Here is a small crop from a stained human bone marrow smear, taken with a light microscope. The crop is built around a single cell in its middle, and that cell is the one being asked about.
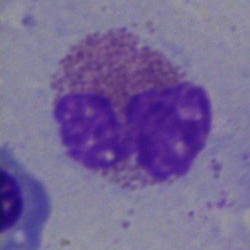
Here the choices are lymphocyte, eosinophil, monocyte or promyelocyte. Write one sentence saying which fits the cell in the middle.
The cell at the middle of the frame should be recorded as an eosinophil.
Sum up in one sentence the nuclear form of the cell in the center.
Multiple nuclear lobes, two or more, can be counted in this cell.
